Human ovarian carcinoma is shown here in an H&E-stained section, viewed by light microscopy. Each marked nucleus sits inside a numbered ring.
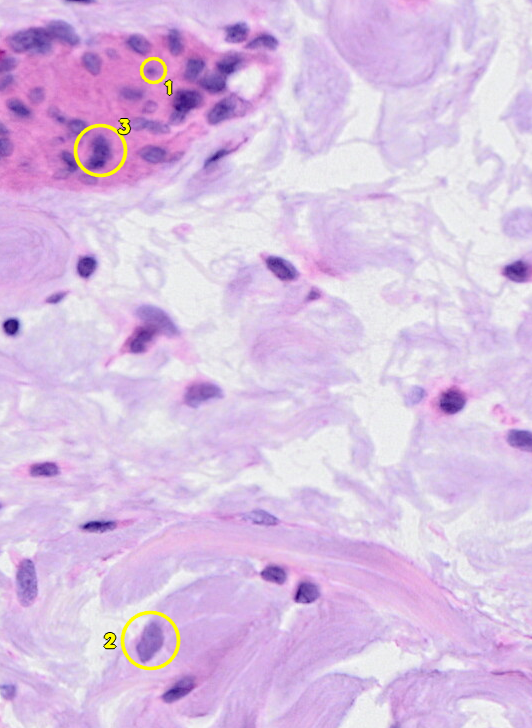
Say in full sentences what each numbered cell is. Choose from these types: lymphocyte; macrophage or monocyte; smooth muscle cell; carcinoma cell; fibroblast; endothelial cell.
Cell 1 is a smooth muscle cell, cell 2 is a fibroblast and cell 3 is a smooth muscle cell.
